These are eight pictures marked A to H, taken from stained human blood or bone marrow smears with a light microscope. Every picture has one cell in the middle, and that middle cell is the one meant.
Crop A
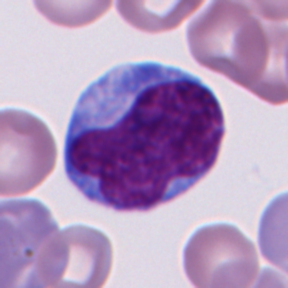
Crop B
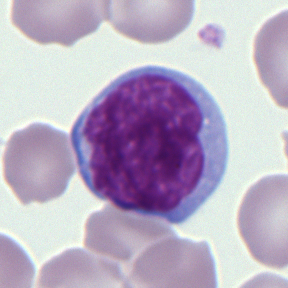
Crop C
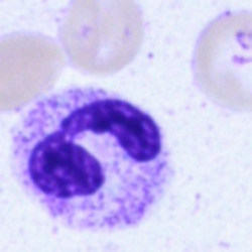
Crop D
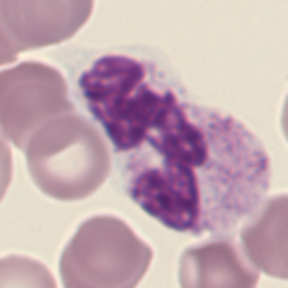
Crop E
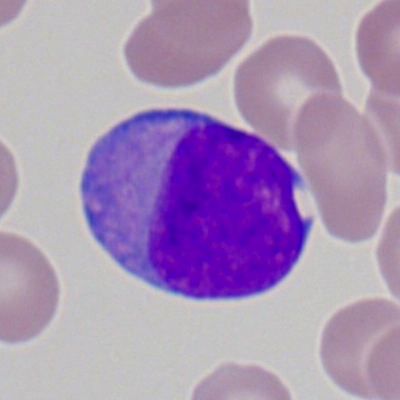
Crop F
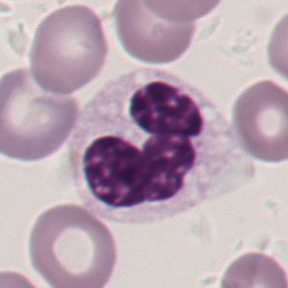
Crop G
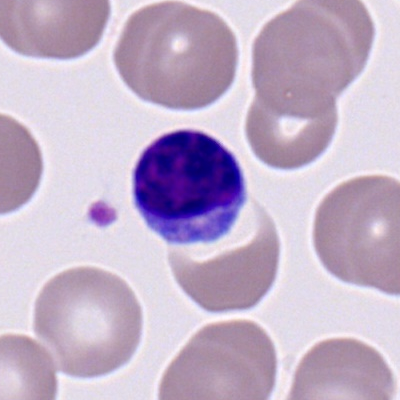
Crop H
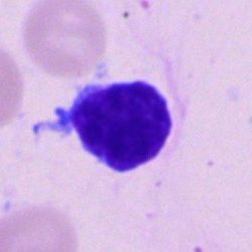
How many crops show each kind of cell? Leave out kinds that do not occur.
lymphocyte: 3
neutrophil: 3
blast: 2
